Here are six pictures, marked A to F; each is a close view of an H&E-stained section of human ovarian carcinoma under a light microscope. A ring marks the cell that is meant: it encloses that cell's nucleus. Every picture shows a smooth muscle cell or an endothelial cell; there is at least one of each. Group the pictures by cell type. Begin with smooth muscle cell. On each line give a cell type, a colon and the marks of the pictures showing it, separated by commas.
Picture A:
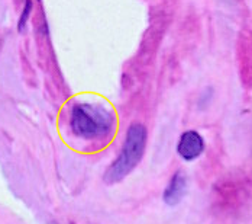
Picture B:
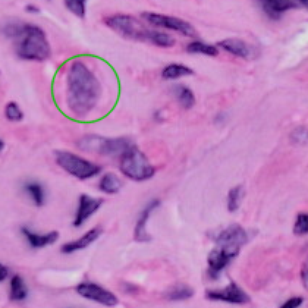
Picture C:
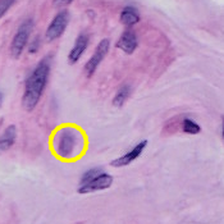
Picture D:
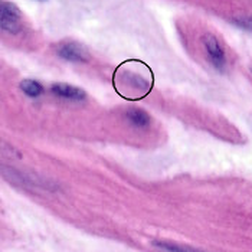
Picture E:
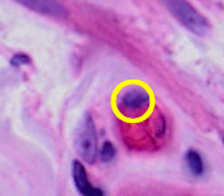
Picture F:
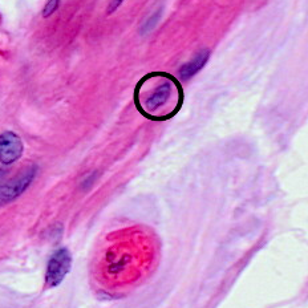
smooth muscle cell: C, D, F
endothelial cell: A, B, E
